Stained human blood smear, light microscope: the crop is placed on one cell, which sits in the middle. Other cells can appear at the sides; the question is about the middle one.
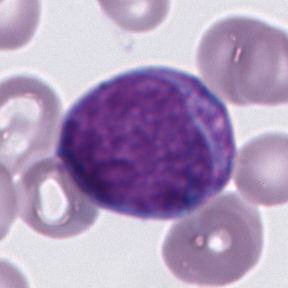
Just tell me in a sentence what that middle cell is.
On this slide crop, the central cell is a promyelocyte.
